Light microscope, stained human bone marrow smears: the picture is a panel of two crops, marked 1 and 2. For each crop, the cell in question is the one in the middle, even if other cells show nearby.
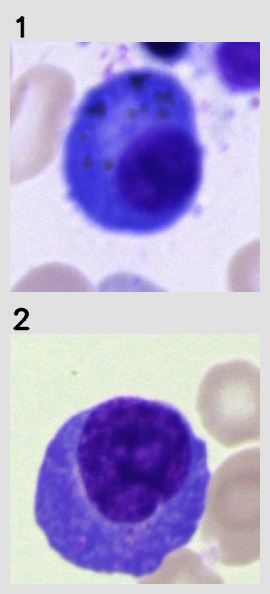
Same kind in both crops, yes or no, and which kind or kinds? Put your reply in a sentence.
Yes, in short, both crops show plasma cells.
